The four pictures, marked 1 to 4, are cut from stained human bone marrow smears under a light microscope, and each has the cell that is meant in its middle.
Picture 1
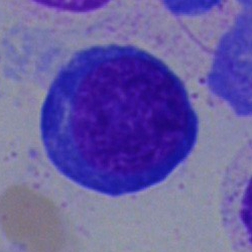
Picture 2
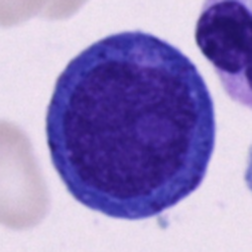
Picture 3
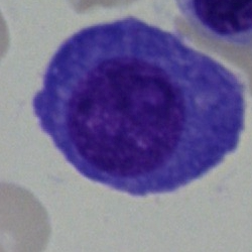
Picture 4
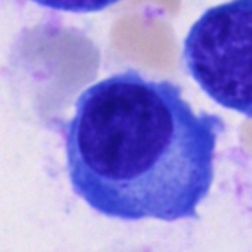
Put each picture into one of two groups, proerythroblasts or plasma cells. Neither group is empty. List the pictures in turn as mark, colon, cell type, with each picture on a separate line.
1: proerythroblast
2: proerythroblast
3: plasma cell
4: plasma cell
